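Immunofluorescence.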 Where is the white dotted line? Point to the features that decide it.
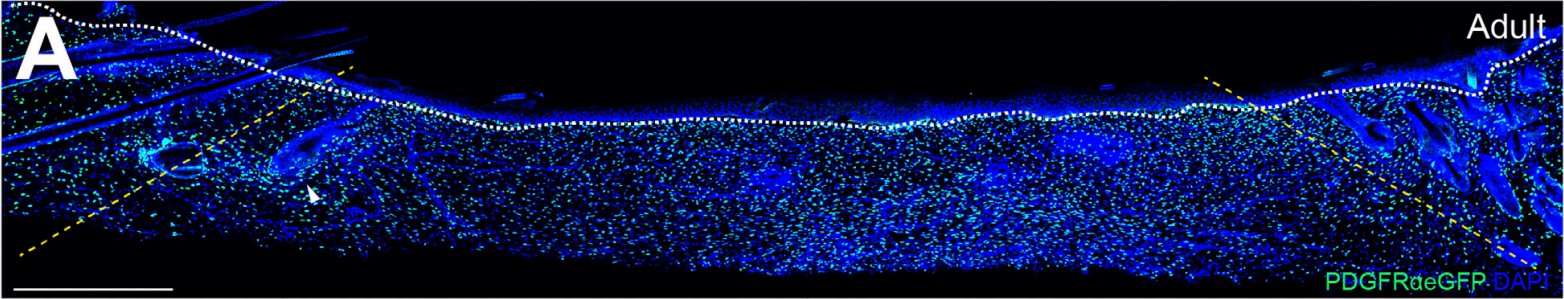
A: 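The border between epidermis and dermis. Above the line lies a thin layer of blue-nuclear epithelium. Below the line lies a broad dermis scattered with green nuclei.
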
